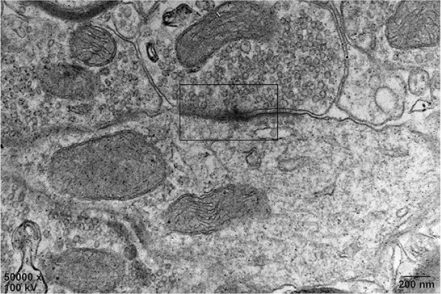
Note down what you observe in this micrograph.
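This electron micrograph shows neuropil with a synapse at its centre, where a nerve terminal packed with small round clear synaptic vesicles abuts a postsynaptic element. The contact between them is marked by a long, dark, electron-dense thickening of the apposed membranes, the postsynaptic density, separated from the presynaptic membrane by a narrow synaptic cleft.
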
